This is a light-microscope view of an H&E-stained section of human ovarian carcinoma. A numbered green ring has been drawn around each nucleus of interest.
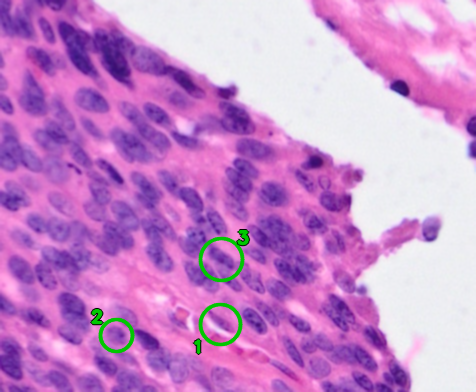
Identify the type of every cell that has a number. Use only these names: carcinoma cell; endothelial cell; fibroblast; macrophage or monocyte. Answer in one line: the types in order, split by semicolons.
endothelial cell; macrophage or monocyte; carcinoma cell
